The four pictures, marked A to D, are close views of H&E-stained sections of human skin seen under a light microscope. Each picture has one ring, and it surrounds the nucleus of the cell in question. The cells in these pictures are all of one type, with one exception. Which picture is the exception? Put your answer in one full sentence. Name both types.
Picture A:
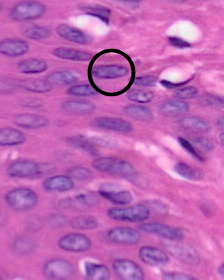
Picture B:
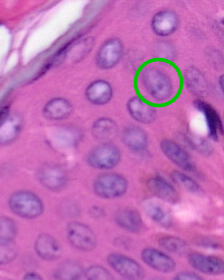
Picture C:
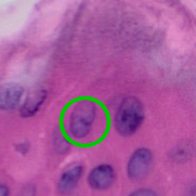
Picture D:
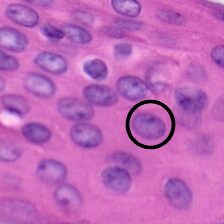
All pictures except A show suprabasal keratinocytes; picture A shows a basal keratinocyte.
